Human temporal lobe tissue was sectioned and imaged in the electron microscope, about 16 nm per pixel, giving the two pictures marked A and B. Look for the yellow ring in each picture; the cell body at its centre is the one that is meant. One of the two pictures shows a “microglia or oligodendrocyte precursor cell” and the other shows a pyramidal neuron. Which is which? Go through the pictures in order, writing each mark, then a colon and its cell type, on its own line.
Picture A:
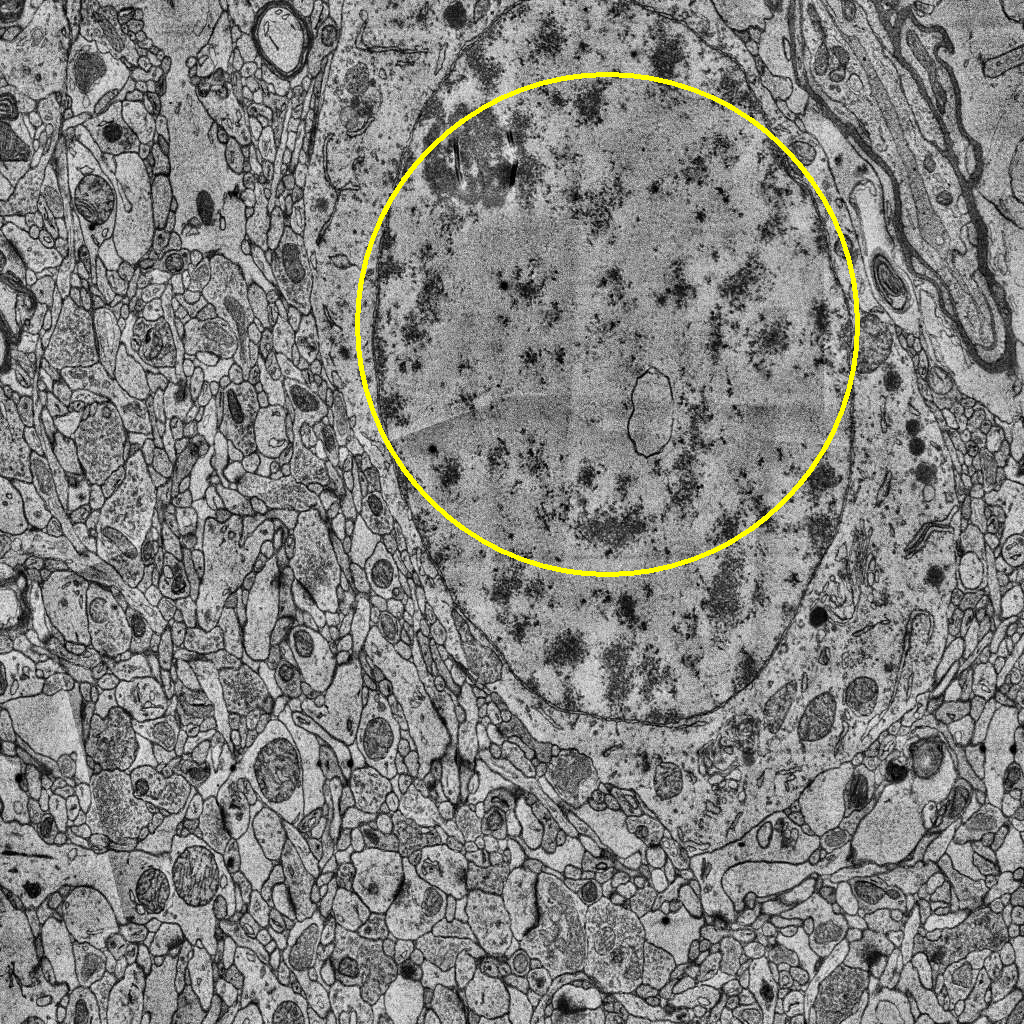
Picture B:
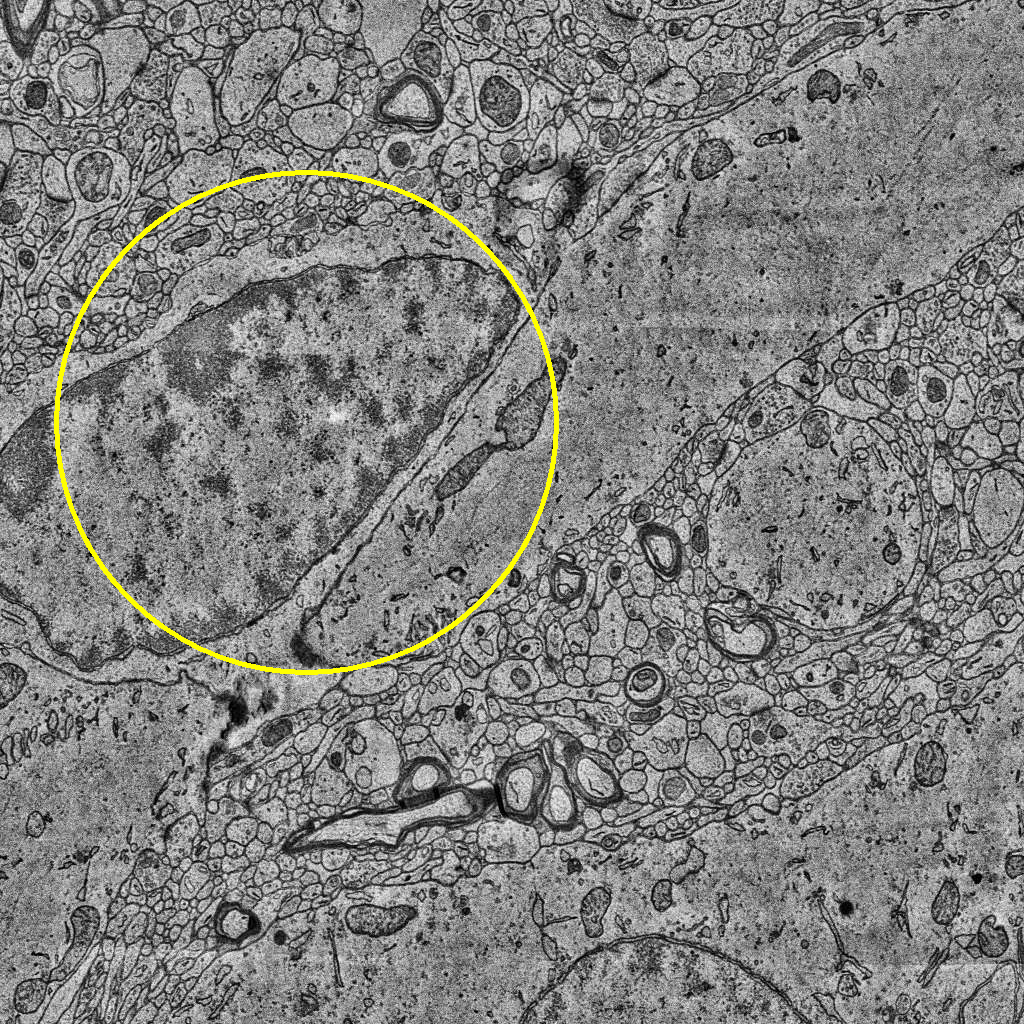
A: pyramidal neuron
B: microglia or oligodendrocyte precursor cell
